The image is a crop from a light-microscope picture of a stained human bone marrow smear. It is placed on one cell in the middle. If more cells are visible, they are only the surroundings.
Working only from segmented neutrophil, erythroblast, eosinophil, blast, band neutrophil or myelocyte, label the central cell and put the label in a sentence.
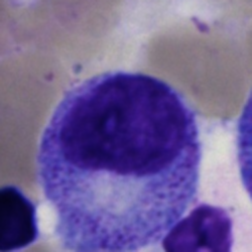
The centrally located cell in the crop is a myelocyte.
